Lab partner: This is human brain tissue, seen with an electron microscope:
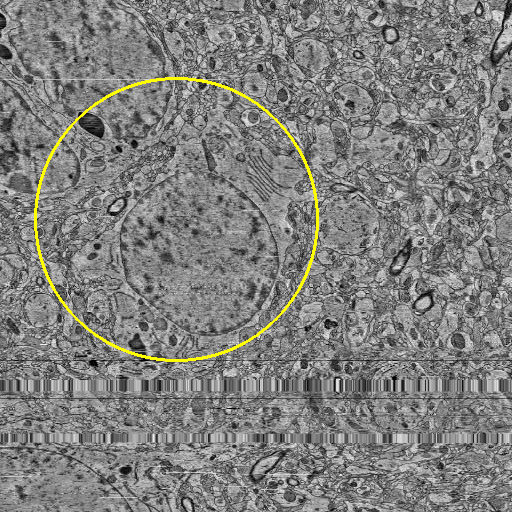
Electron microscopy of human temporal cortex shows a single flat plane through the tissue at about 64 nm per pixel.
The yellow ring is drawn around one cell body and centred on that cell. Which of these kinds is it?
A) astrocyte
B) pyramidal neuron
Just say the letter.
A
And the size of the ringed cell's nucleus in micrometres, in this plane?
Approximately 10 micrometres across, in this plane.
